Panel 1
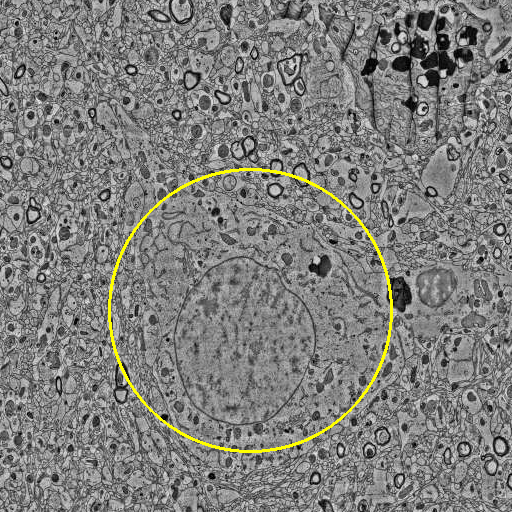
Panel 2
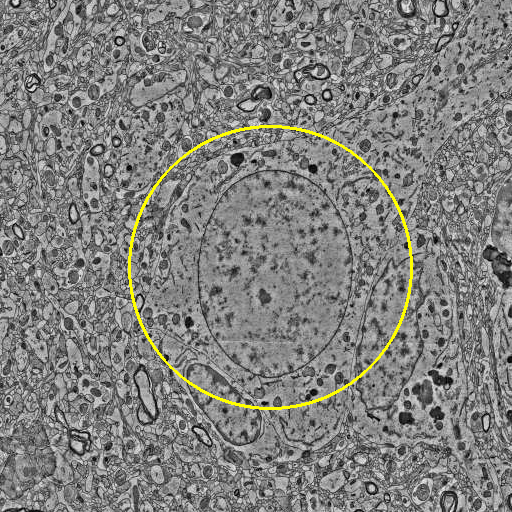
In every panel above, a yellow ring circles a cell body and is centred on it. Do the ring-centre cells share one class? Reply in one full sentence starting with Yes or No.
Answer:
Yes, the two cells at the ring centres in the panels belong to one class.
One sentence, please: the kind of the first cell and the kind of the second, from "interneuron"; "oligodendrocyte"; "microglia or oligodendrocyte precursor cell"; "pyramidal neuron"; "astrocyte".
The cell in the first picture is a pyramidal neuron, and so is the one in the second.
